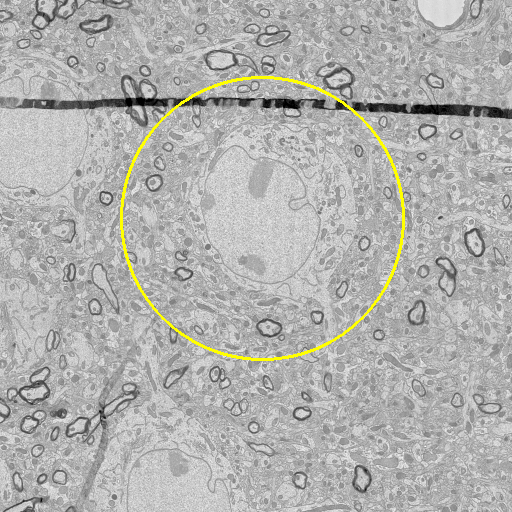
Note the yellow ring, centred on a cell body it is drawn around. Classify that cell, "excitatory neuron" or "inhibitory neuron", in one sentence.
The cell the ring is centred on is an excitatory neuron.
